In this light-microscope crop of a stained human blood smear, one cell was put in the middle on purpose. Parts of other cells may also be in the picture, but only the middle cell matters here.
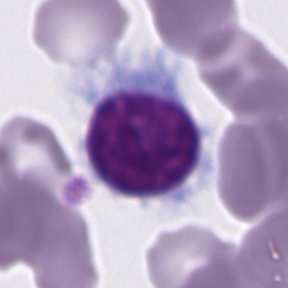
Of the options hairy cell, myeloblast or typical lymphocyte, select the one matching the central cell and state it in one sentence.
The central cell, amid any neighbouring cells, is a hairy cell.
